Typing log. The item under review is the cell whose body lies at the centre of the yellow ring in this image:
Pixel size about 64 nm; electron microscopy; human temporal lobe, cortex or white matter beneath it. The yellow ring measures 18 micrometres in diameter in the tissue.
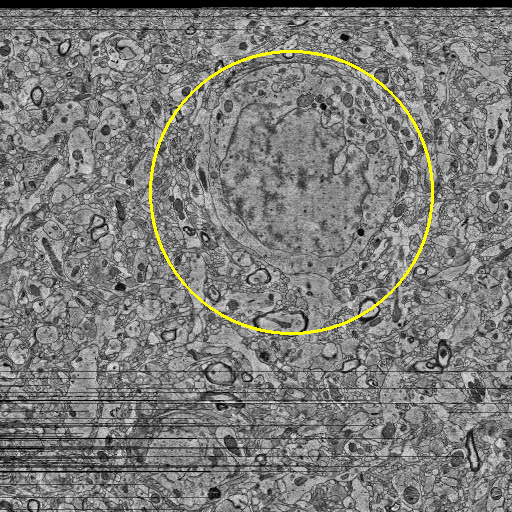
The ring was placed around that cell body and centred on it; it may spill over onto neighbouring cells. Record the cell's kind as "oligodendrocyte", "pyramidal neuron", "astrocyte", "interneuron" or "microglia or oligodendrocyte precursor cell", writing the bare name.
interneuron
